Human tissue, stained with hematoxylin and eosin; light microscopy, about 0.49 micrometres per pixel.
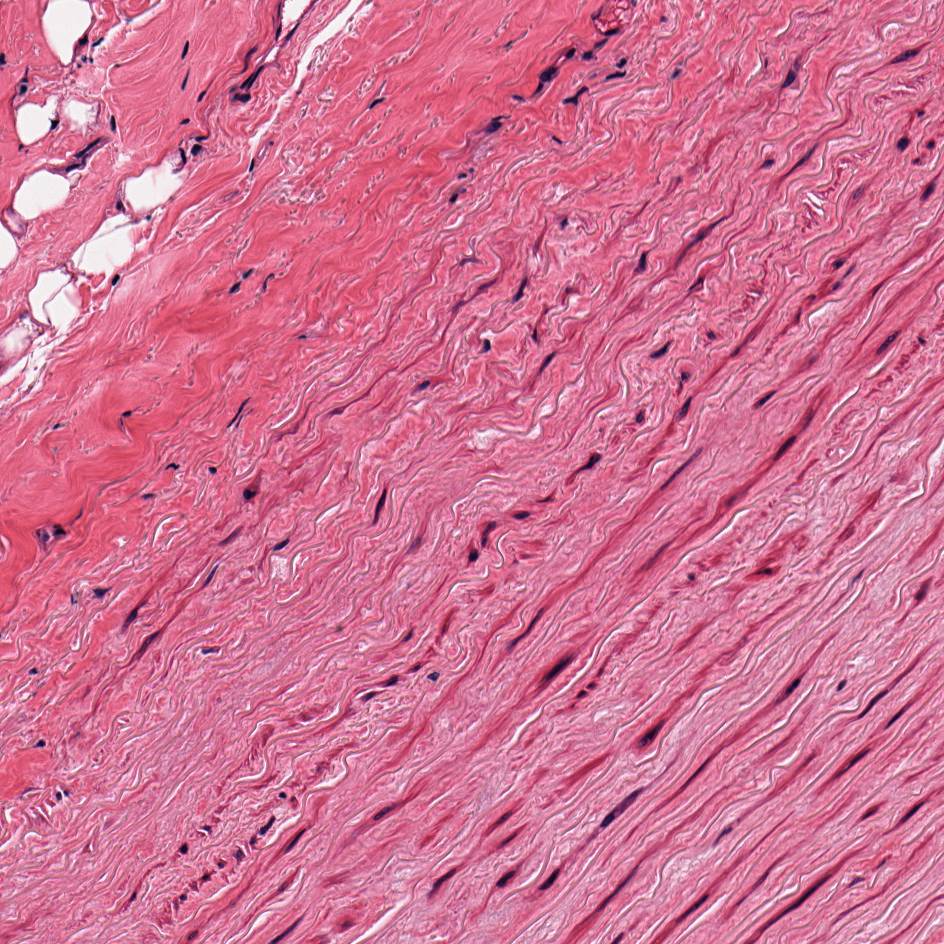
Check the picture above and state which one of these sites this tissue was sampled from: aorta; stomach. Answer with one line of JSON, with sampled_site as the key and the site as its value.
{"sampled_site": "aorta"}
